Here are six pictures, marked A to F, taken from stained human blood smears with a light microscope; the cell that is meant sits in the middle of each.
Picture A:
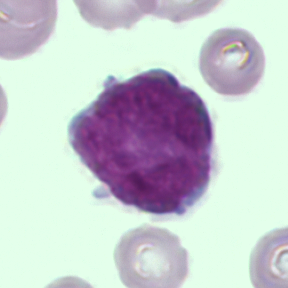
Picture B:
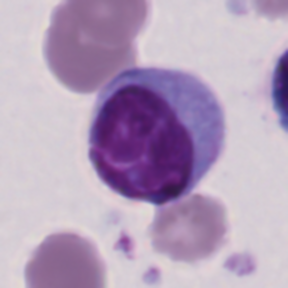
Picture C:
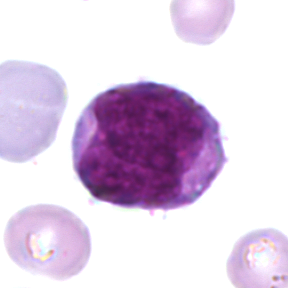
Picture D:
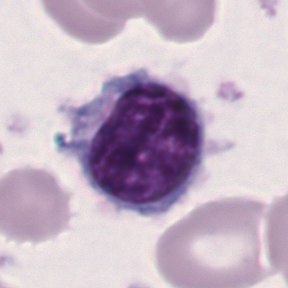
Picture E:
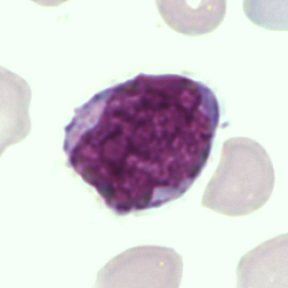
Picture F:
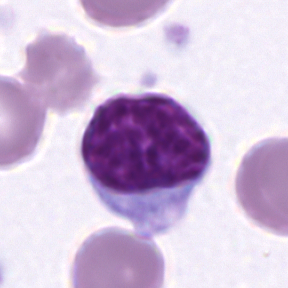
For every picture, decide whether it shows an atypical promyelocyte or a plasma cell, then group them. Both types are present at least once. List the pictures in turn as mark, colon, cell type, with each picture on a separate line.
A: atypical promyelocyte
B: plasma cell
C: atypical promyelocyte
D: plasma cell
E: atypical promyelocyte
F: plasma cell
